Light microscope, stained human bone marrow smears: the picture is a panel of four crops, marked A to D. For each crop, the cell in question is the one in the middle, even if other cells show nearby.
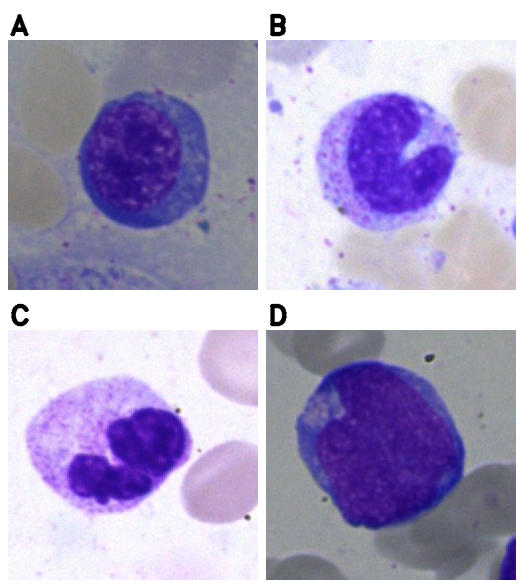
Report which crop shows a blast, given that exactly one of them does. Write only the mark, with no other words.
D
